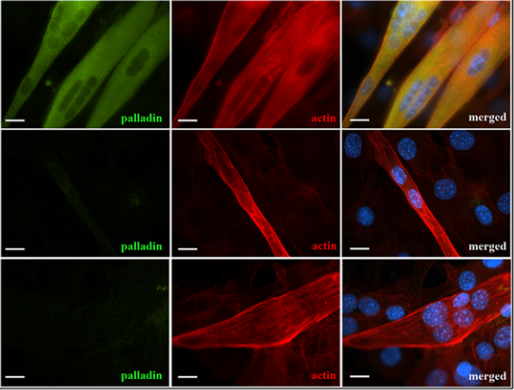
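In the top row the tubes are broad and filled with diffuse green and red, and several oval blue nuclei lie in a row inside a single tube, marking them as multinucleated. In the lower two rows the green is almost absent, while the red shows long filament bundles running parallel to the long axis of each tube. Around the myotubes lie smaller cells with single round blue nuclei, which have not fused. The nuclei inside the tubes are oval and carry speckled chromatin.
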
